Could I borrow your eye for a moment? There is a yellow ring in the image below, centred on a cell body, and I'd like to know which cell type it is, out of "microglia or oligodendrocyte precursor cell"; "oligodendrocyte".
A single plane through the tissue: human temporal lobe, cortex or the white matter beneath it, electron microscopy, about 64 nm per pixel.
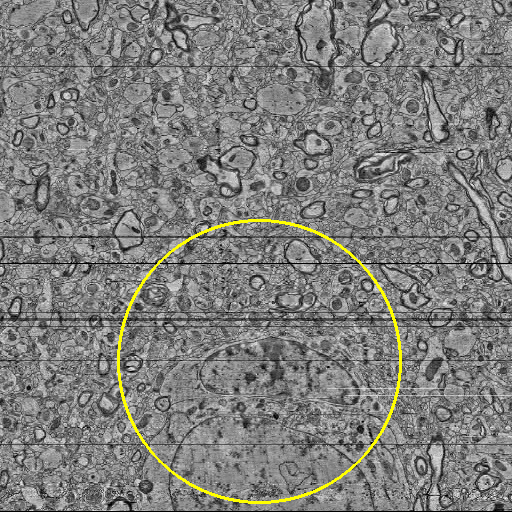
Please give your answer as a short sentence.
The cell body at the centre is that of a microglial cell or oligodendrocyte precursor cell.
